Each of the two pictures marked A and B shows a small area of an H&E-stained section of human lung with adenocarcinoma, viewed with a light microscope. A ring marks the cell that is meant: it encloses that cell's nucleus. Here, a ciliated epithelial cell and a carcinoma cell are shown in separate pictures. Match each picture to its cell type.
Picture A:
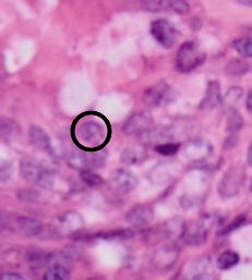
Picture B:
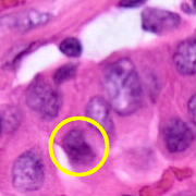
A: ciliated epithelial cell
B: carcinoma cell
